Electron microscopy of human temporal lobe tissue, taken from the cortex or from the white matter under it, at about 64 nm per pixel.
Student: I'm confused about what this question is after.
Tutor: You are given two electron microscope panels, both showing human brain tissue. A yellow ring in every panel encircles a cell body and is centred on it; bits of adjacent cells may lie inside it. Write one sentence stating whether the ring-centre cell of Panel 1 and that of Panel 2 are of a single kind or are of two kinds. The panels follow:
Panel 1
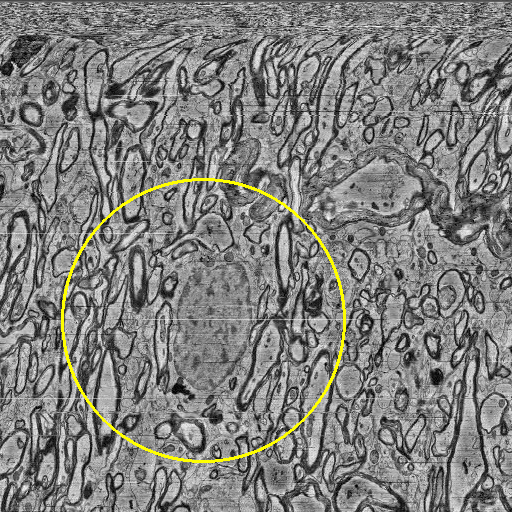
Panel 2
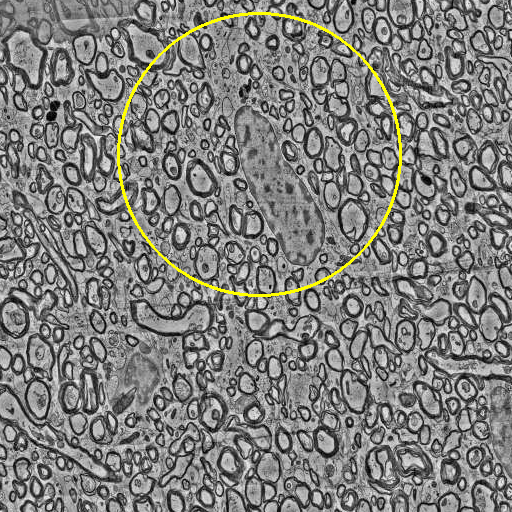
Here, the Panel 1 ring-centre cell and the Panel 2 ring-centre cell are of two kinds.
